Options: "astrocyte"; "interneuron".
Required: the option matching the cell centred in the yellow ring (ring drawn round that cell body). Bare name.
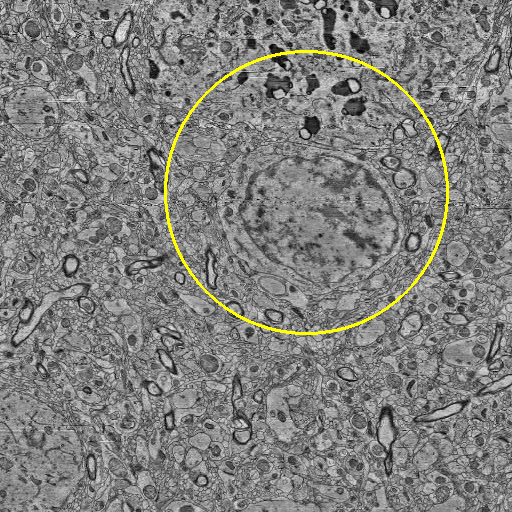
interneuron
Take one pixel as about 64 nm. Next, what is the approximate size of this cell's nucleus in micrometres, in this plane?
The nucleus has a long axis of about 10 micrometres and a short axis of about 8 micrometres in this plane.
